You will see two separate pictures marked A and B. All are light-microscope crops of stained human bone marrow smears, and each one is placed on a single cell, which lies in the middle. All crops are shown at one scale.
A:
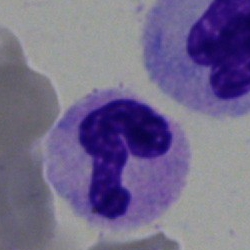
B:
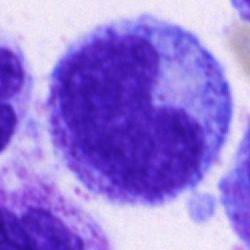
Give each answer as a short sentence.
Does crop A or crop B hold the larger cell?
Crop B holds the larger cell; it covers about 2 times the area of the cell in crop A.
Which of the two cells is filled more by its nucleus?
Of the two, the nucleus in crop B makes up the greater part of its cell.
